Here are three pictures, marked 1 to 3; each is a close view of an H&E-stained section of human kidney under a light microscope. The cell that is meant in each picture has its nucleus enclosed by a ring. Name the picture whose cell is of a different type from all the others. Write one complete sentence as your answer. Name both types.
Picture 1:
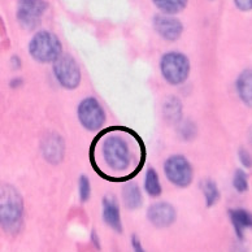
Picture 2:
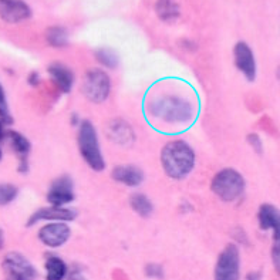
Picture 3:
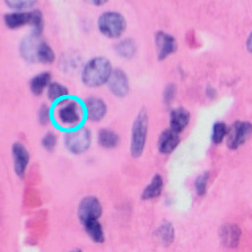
Picture 2 is the odd one out: it shows a “loop of Henle or distal tubule cell”, while the others show collecting duct cells.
